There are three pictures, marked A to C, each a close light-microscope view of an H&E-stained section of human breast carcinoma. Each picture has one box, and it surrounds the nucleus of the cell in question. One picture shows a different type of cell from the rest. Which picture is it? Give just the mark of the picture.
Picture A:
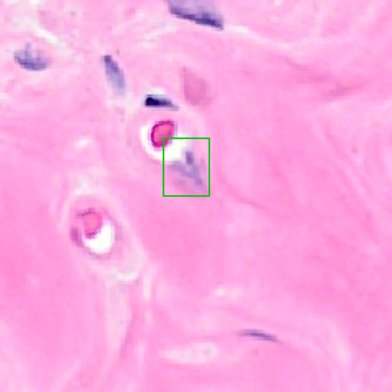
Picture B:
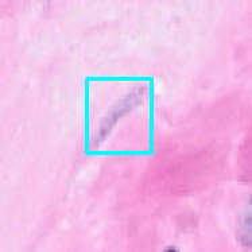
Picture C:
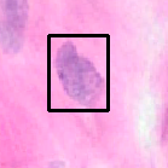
A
